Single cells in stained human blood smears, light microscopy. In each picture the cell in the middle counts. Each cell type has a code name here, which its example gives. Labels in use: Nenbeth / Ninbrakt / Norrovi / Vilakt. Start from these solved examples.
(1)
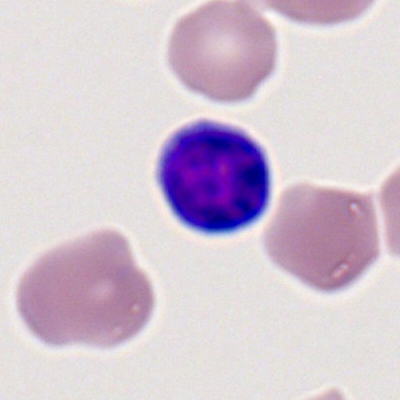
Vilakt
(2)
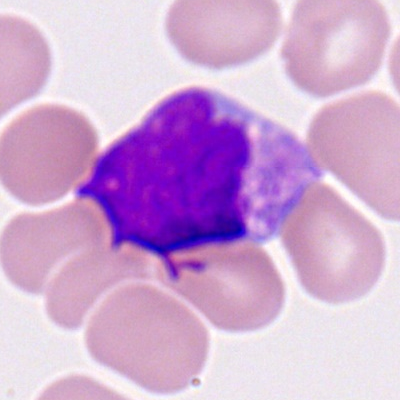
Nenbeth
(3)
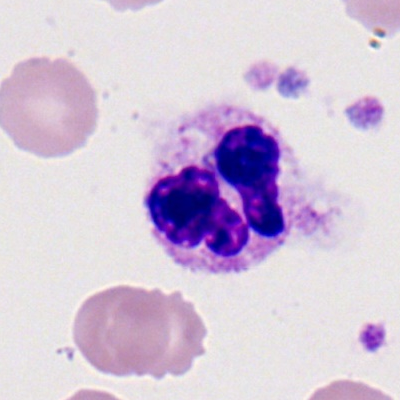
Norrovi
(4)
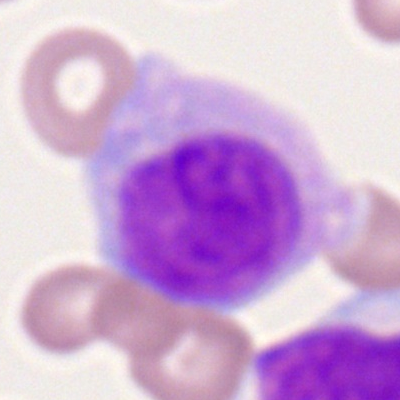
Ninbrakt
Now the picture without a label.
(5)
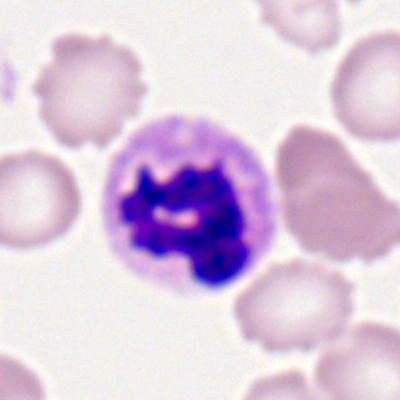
Norrovi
